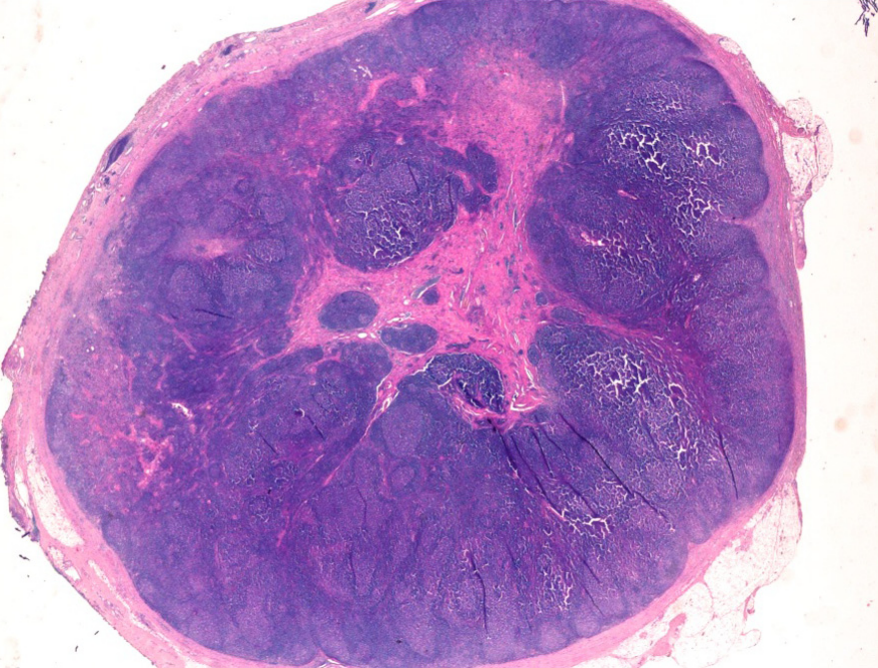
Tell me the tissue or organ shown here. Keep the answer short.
lymph node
